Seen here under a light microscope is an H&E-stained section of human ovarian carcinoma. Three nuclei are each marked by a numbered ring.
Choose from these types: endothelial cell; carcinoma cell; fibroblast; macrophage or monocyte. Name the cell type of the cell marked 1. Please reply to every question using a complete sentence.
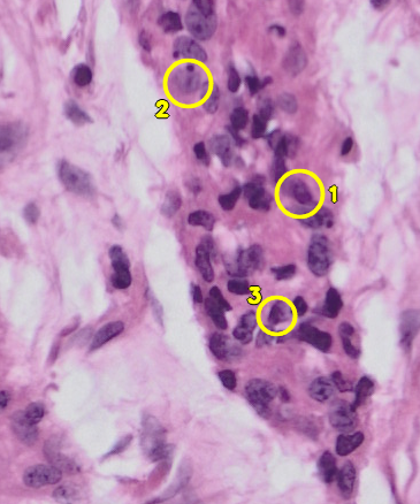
The numbered cell 1 in this field is a carcinoma cell.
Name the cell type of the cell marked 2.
In this section, number 2 marks a macrophage or monocyte.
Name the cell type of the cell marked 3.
The cell that is numbered 3 is a carcinoma cell.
